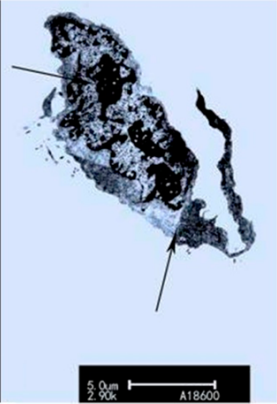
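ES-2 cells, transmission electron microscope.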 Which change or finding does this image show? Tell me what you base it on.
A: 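Cell shrinkage. The cell is narrow and compressed, with an irregular outline. The nucleus fills most of the cell and has dark, clumped chromatin. A thin strip of membrane is peeling away from one side of the cell.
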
